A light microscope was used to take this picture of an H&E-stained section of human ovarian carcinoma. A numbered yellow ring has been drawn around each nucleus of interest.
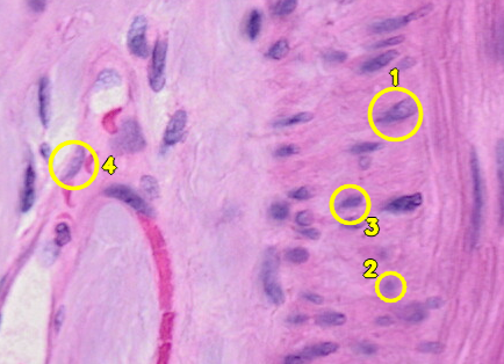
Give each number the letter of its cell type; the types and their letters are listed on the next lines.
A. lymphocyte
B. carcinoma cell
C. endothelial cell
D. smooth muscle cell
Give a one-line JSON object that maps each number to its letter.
{"1": "D", "2": "D", "3": "D", "4": "C"}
